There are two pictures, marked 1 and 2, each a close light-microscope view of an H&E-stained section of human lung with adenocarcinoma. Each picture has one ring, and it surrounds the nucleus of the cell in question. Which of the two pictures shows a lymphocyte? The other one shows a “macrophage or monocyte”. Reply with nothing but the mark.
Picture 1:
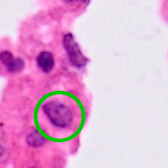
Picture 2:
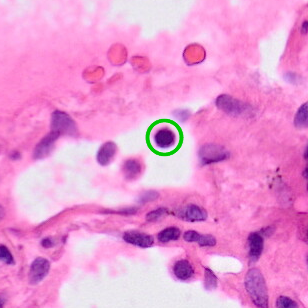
2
